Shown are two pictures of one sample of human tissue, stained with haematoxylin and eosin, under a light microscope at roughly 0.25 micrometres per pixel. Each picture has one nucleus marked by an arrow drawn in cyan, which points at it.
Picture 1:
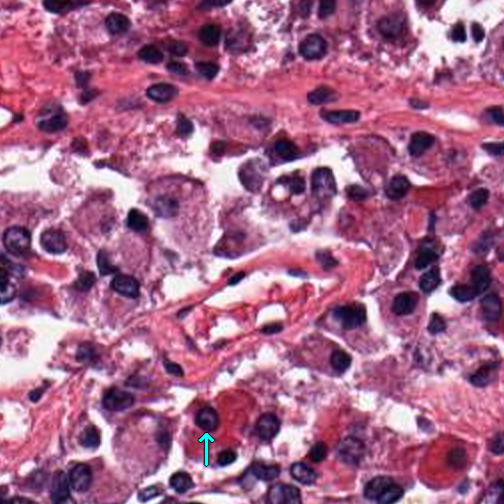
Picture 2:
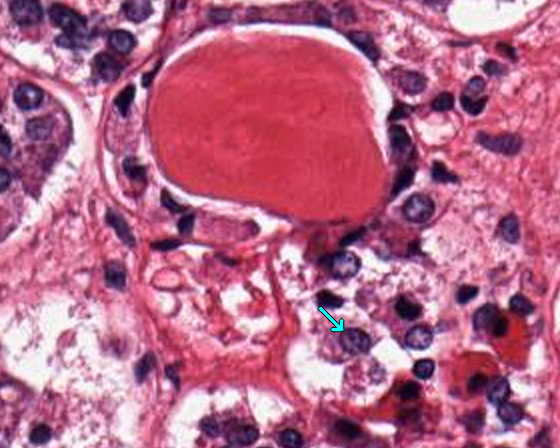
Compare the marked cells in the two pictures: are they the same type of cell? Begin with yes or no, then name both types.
Yes, both are anterior pituitary cells.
